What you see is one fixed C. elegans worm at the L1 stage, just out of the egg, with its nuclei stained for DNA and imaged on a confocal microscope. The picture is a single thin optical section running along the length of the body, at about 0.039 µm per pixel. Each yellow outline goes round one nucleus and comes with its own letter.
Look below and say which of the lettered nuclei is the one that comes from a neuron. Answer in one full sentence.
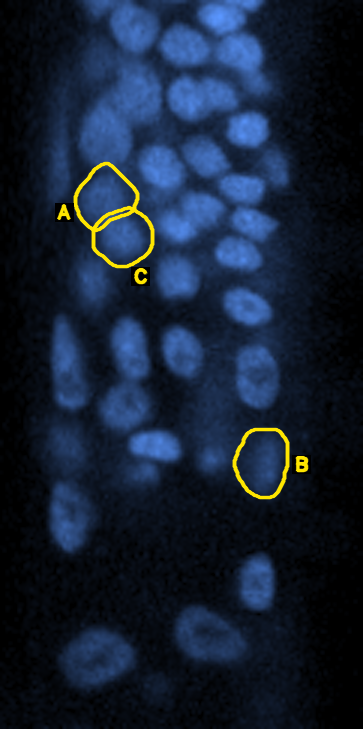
A is the one that belongs to a neuron.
